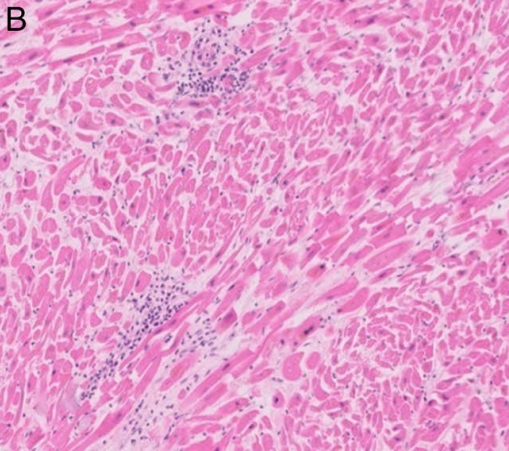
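This is heart muscle at lower power with two separate foci of inflammatory cells among the cardiac muscle fibres. The muscle fibres are pink, cut in varying planes, and loosely separated. Each focus is a cluster of small dark nuclei, one near the top and one in the lower left part of the field.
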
